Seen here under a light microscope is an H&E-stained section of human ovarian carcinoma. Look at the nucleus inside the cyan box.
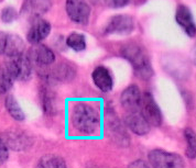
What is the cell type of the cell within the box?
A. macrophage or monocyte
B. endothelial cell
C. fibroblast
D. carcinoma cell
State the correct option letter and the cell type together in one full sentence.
Option A is the correct one: the cell within the box is a macrophage or monocyte.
